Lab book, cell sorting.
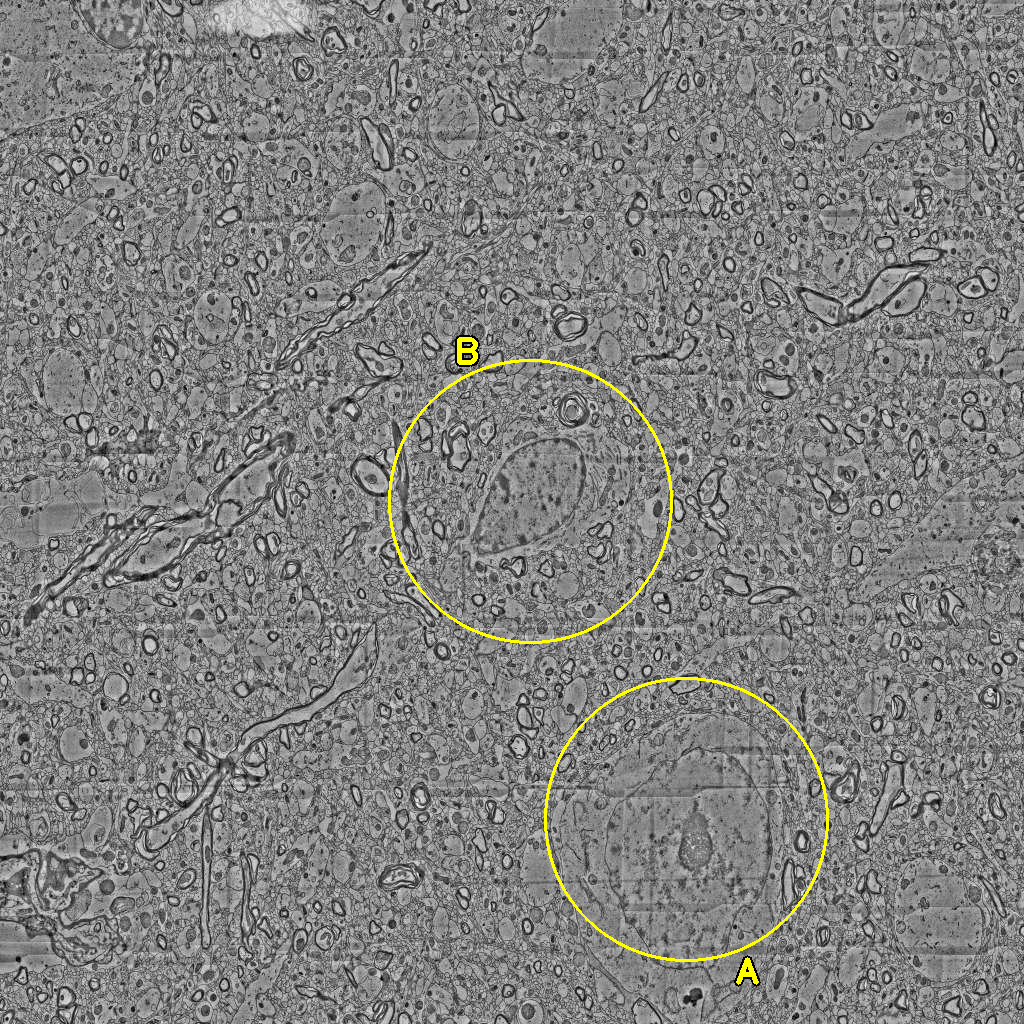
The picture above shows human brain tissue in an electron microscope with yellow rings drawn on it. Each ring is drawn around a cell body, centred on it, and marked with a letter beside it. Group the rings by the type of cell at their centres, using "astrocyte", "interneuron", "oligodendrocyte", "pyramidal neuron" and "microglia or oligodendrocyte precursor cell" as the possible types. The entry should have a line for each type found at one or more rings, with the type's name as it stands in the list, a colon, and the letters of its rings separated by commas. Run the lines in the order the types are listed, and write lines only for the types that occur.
pyramidal neuron: A
microglia or oligodendrocyte precursor cell: B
